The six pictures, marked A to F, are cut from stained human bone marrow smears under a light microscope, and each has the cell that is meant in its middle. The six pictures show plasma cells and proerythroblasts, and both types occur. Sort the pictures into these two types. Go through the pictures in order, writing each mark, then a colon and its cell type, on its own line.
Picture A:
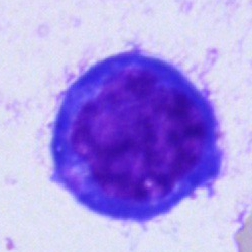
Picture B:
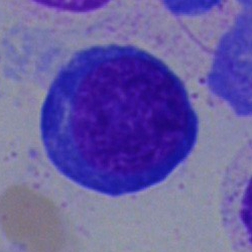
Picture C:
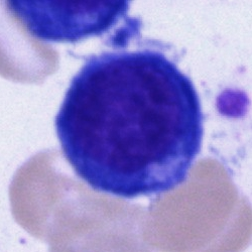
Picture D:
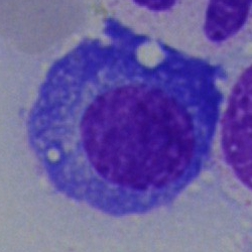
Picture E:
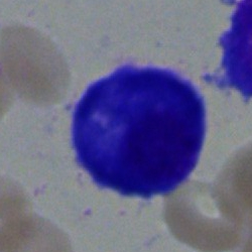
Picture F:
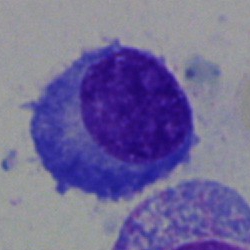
A: proerythroblast
B: proerythroblast
C: proerythroblast
D: plasma cell
E: plasma cell
F: plasma cell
